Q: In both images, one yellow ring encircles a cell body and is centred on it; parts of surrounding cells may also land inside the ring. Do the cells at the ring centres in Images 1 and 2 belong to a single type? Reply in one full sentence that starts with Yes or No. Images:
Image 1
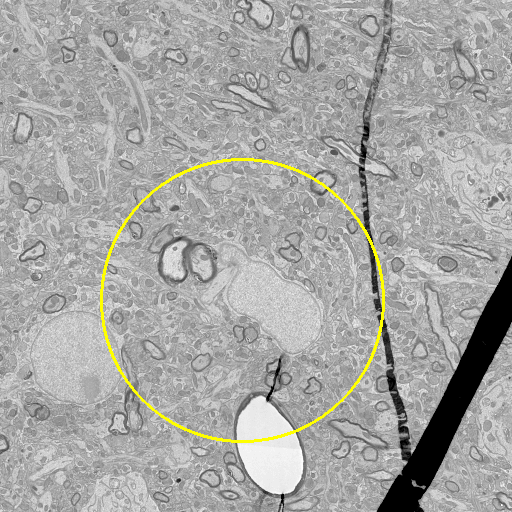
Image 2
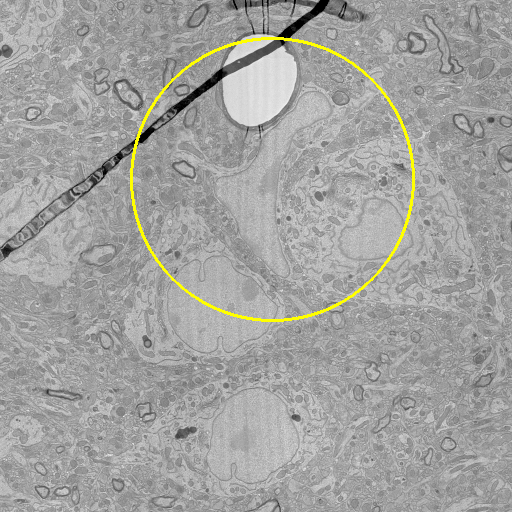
Yes, the cells at the ring centres in Images 1 and 2 are of a single type.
